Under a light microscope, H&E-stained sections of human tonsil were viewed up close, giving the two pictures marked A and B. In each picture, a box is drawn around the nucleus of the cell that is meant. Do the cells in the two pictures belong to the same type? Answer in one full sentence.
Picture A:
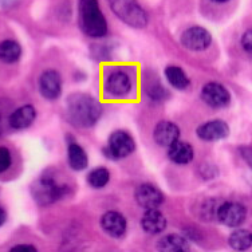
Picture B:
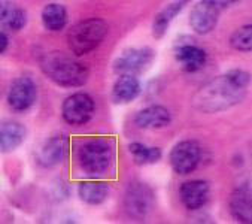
Yes; the cells in both pictures are plasma cells.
